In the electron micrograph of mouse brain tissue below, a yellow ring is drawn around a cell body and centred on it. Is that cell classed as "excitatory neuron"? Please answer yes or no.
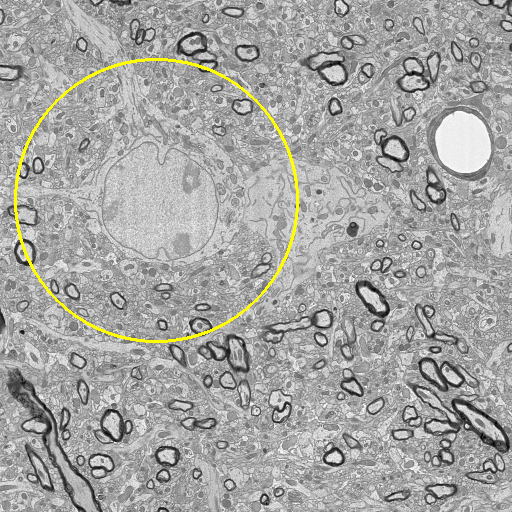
yes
